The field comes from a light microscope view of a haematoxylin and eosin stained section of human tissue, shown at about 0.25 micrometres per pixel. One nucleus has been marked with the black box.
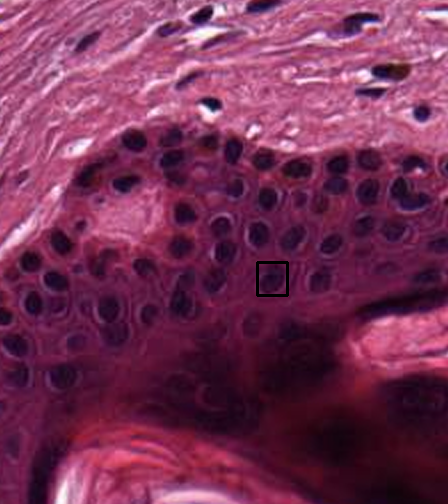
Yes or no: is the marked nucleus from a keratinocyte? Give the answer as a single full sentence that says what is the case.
Yes, the marked nucleus forms part of a keratinocyte.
